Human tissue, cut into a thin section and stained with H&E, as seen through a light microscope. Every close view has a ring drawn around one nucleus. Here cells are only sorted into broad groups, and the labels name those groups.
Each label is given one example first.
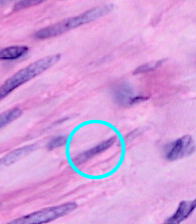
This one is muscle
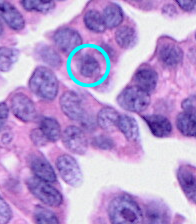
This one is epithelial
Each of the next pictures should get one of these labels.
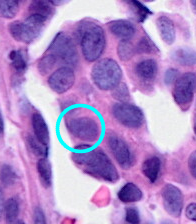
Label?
epithelial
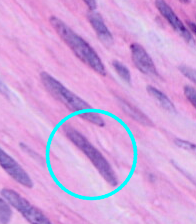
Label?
muscle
